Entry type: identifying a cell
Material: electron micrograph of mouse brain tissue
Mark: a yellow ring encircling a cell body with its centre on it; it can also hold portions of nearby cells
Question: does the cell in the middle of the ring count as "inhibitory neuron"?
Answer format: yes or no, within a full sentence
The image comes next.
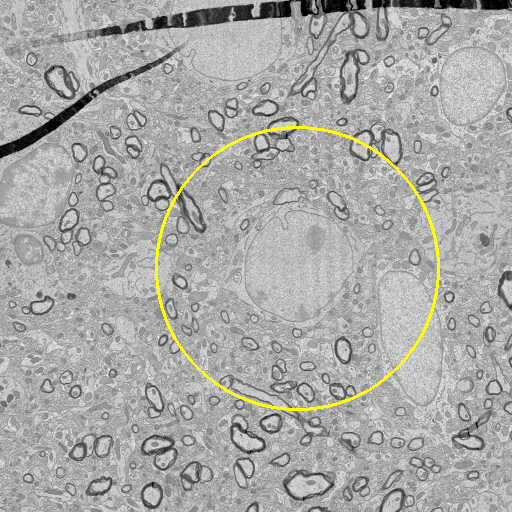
No, in the image, the cell in the middle of the yellow ring counts as a different kind.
